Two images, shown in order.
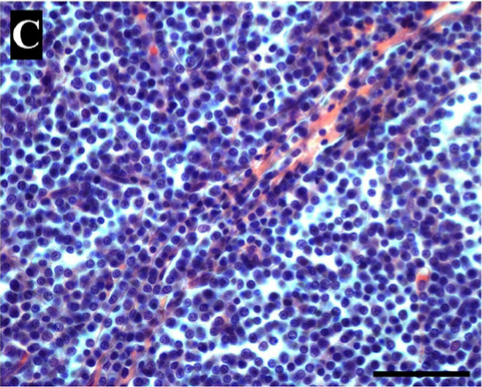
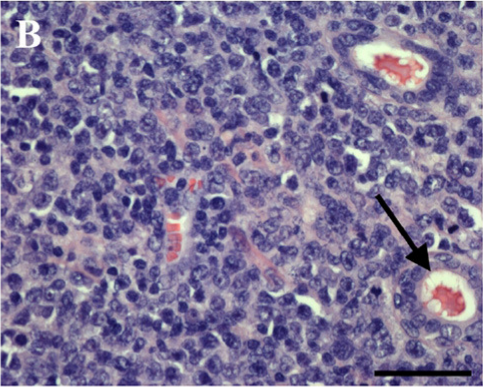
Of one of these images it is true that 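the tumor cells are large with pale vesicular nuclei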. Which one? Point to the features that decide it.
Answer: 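The second image. First image: small cells with compact, dark nuclei. Second image: larger cells with bigger, paler nuclei of irregular outline.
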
